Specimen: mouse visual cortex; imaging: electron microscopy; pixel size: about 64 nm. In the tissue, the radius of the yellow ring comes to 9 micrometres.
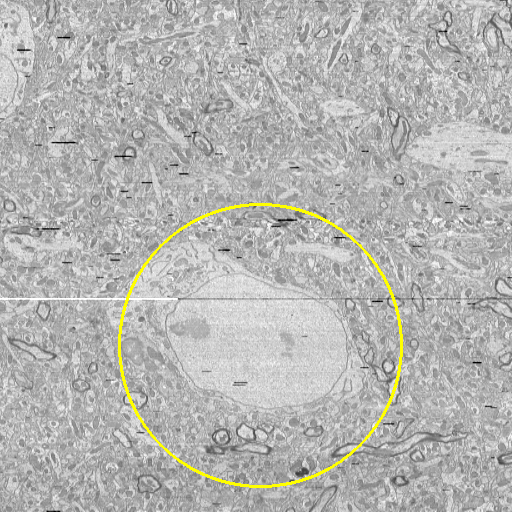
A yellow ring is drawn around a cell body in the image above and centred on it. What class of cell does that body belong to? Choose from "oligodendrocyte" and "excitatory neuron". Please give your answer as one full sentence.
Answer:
The yellow ring above is centred on the cell body of an excitatory neuron.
